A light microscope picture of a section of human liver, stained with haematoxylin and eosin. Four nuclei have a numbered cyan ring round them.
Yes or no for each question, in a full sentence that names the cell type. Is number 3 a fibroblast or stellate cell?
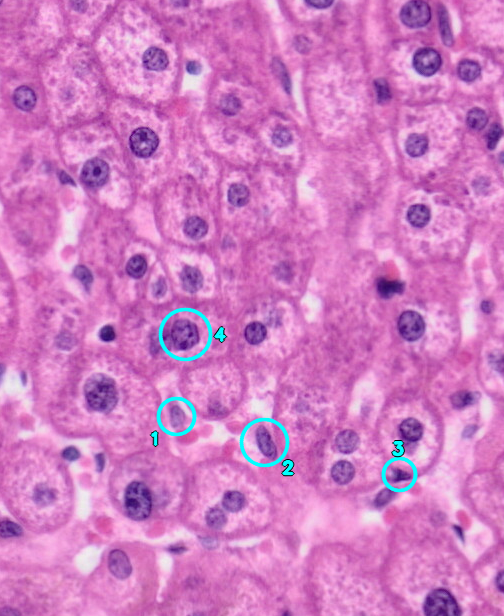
Yes, the cell that bears number 3 is a fibroblast or stellate cell.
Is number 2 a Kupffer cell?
Yes, what number 2 marks is a Kupffer cell.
